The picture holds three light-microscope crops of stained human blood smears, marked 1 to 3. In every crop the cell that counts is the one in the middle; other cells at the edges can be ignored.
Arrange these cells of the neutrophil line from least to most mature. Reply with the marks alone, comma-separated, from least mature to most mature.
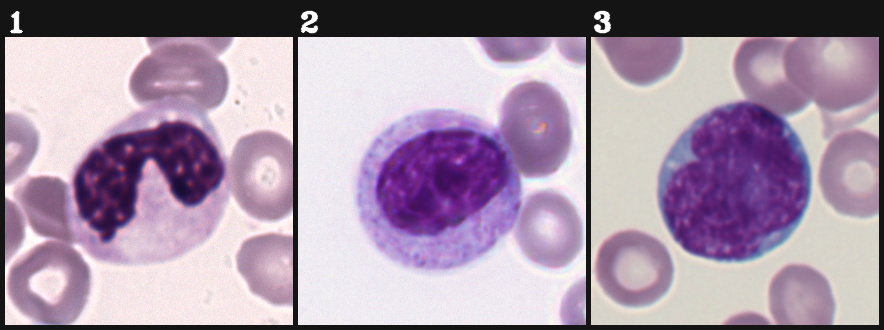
3, 2, 1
